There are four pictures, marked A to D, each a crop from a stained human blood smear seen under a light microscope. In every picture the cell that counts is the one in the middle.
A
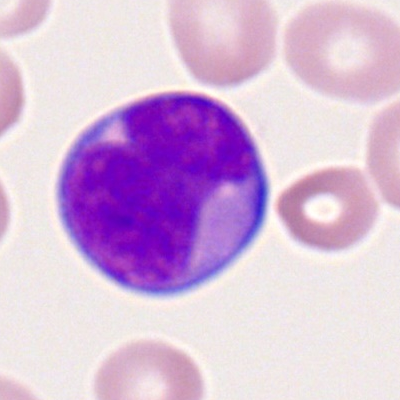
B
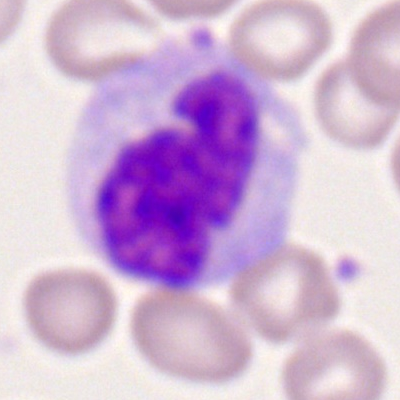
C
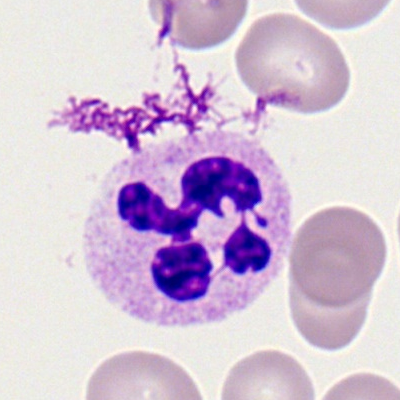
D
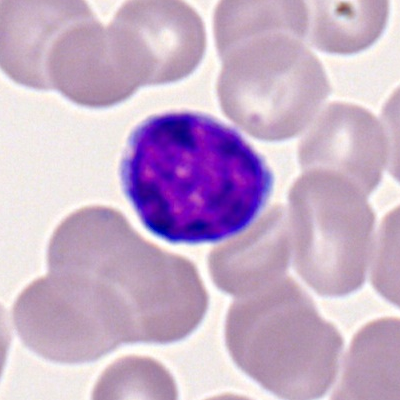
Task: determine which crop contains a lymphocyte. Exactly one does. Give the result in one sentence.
Crop D is the crop featuring a lymphocyte at its center.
